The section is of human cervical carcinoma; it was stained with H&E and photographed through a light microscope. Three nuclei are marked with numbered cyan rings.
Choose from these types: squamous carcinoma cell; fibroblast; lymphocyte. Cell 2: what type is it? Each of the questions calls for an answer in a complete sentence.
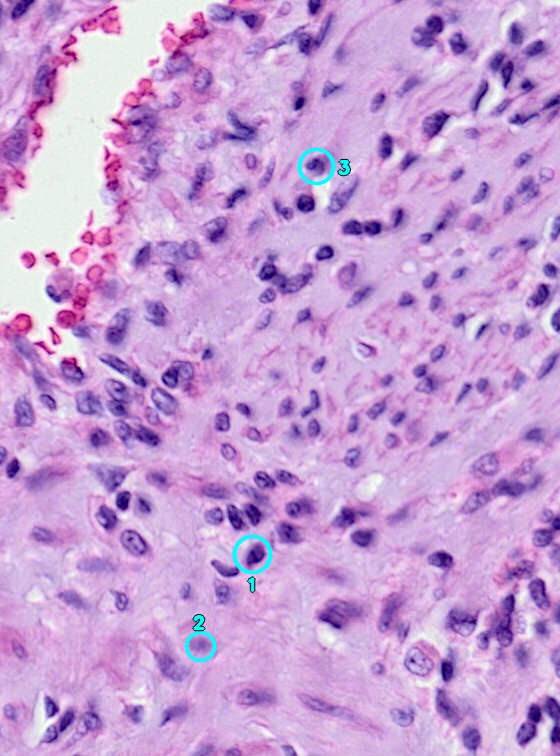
The cell referenced by the number 2 is a fibroblast in this field.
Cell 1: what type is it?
Cell 1 in the field of view is a lymphocyte.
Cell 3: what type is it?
The cell carrying label 3 is identified as a lymphocyte.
